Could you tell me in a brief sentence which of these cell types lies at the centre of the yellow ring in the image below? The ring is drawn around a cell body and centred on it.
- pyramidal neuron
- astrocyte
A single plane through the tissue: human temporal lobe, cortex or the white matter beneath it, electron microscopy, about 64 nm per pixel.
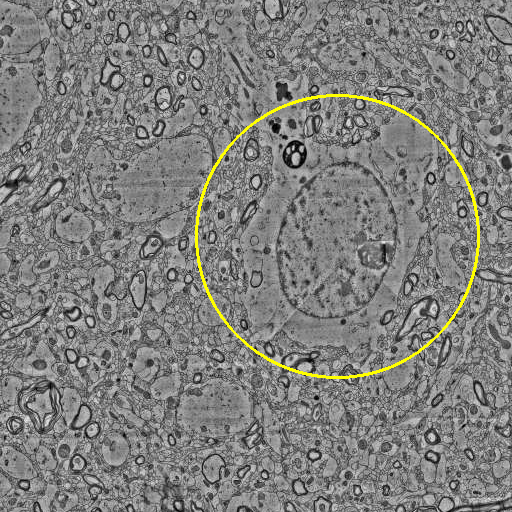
The cell centred in the ring is an astrocyte.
